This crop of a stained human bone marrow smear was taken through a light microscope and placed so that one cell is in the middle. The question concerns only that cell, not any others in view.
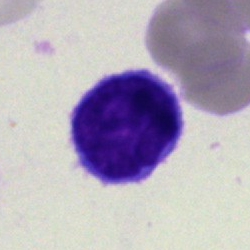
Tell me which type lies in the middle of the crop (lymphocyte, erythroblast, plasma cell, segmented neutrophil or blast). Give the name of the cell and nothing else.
lymphocyte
